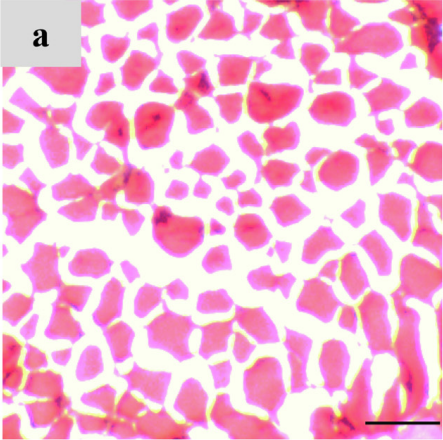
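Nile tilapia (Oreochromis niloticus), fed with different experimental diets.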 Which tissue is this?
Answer: White muscle.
